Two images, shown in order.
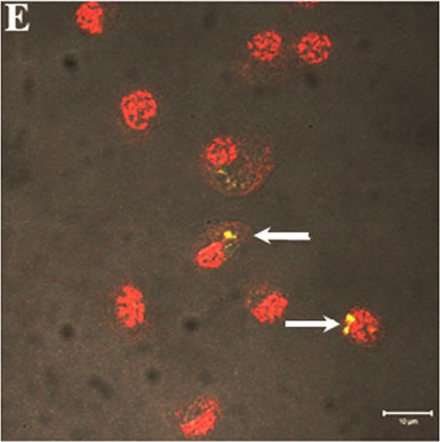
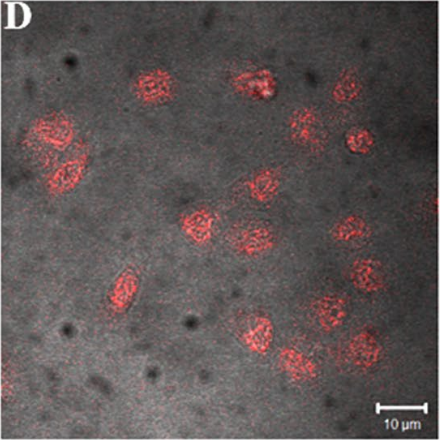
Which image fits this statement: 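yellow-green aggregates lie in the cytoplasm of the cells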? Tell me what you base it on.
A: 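The first image. First image: small yellow spots lie beside red nuclei in a few cells. Second image: only red nuclei are seen, with no yellow spots.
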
